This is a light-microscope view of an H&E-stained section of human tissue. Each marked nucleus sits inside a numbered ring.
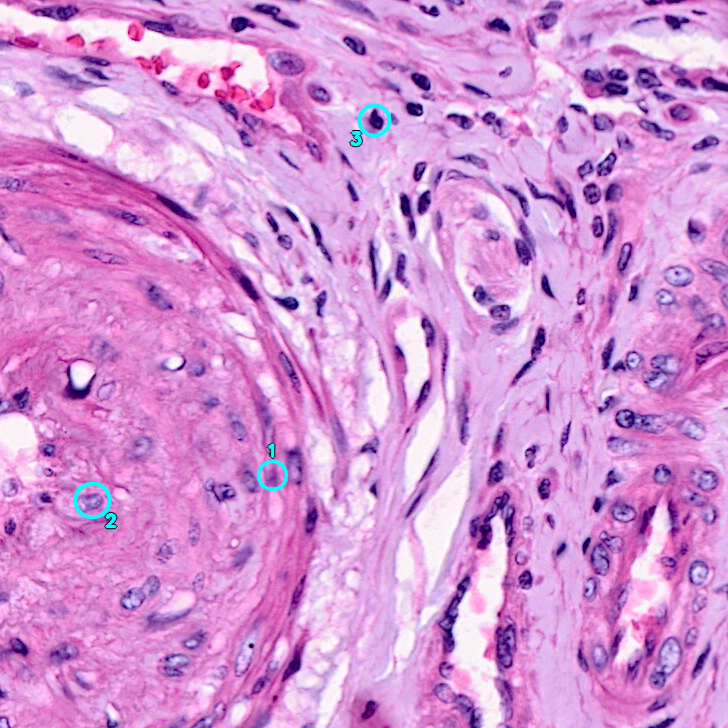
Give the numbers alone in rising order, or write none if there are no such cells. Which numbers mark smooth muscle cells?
1, 2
